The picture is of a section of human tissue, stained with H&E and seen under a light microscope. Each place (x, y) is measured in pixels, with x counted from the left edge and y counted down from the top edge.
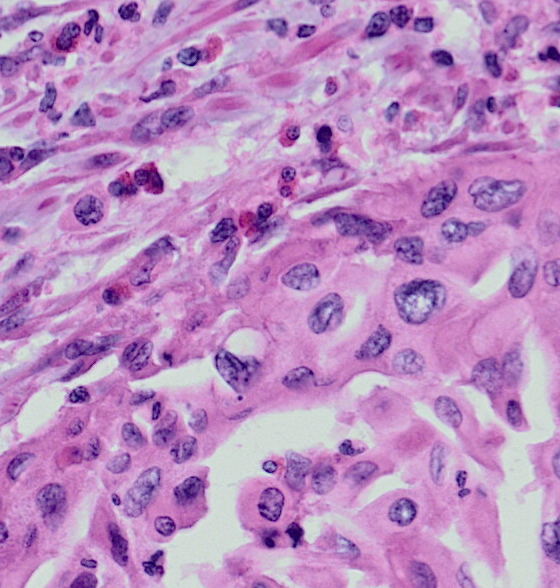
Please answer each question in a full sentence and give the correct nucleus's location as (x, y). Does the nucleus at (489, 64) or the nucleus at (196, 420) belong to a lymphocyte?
Of the two nuclei, it is the one at (489, 64) that lies within a lymphocyte.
